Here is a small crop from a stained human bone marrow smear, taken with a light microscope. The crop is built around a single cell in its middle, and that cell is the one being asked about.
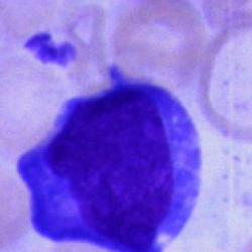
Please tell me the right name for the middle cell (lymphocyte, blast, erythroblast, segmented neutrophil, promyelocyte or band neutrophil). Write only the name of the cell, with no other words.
blast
